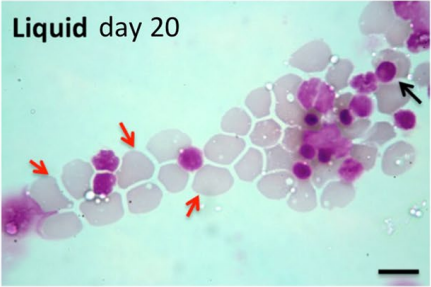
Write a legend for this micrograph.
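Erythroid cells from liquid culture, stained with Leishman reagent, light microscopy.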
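A smaller number of nucleated cells lie among them. These have small, dark, condensed purple nuclei with little surrounding cytoplasm, consistent with late orthochromatic erythroblasts. Some magenta debris is also present. Larger nucleated precursors with bluish cytoplasm are scarce.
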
